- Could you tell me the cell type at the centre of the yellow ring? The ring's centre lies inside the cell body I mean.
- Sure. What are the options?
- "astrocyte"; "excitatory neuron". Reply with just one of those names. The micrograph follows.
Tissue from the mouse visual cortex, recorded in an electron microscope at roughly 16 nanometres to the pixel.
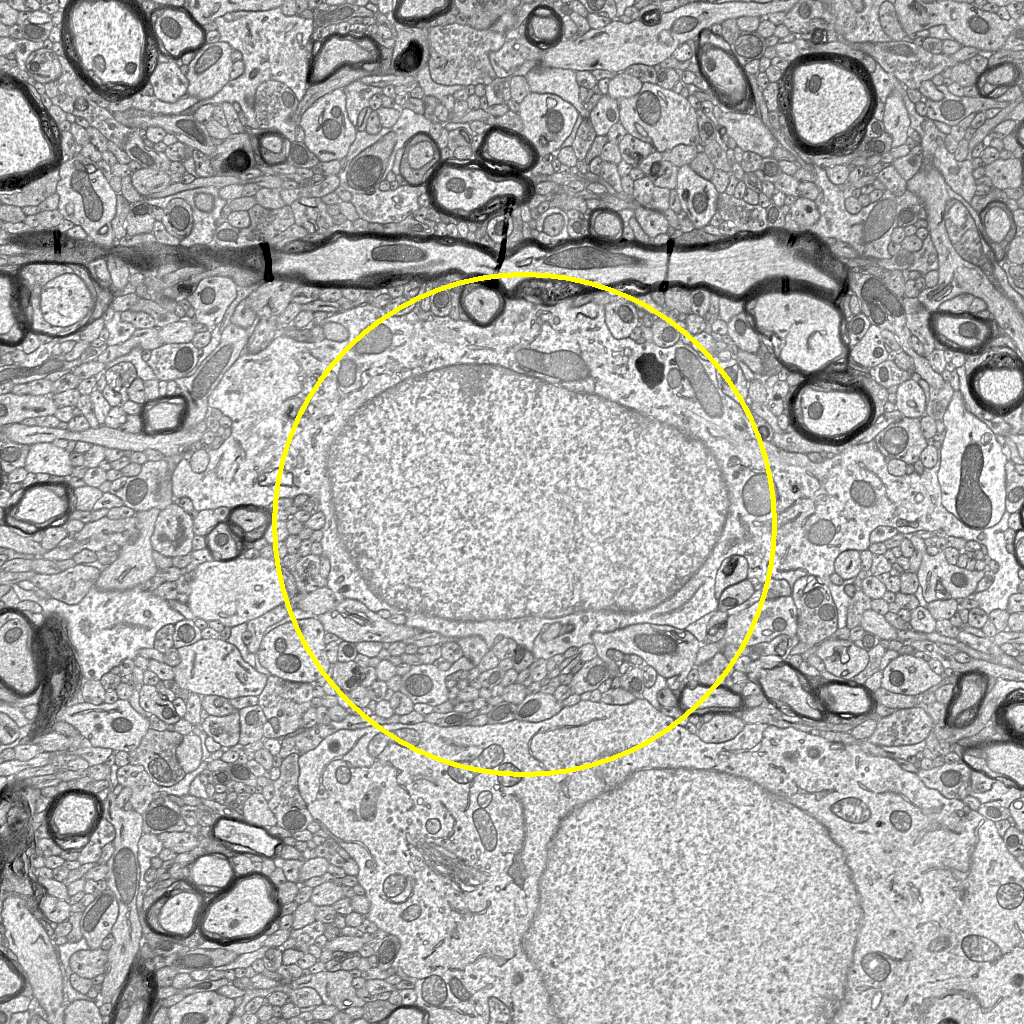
astrocyte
